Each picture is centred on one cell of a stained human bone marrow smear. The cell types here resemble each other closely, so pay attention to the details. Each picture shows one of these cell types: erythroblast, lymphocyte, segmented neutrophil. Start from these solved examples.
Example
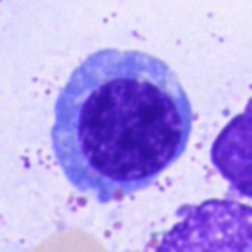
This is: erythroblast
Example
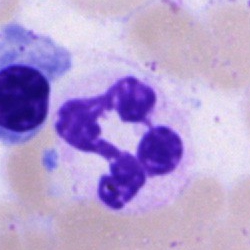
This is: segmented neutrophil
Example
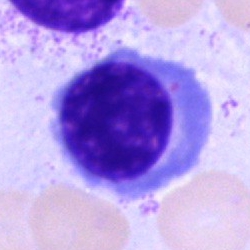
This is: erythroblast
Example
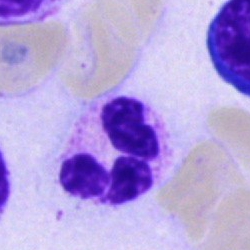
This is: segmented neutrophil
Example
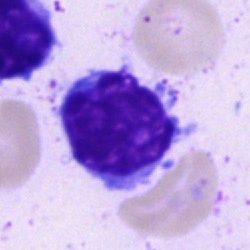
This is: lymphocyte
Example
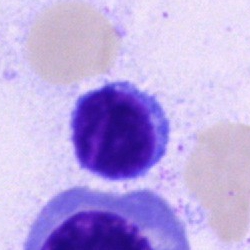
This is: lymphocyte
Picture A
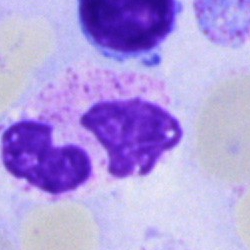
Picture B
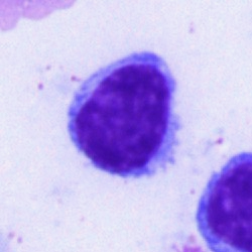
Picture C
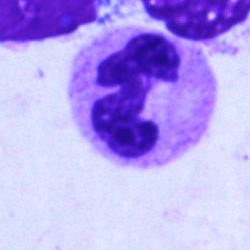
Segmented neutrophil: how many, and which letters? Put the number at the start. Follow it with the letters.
Count: 2 (A, C)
